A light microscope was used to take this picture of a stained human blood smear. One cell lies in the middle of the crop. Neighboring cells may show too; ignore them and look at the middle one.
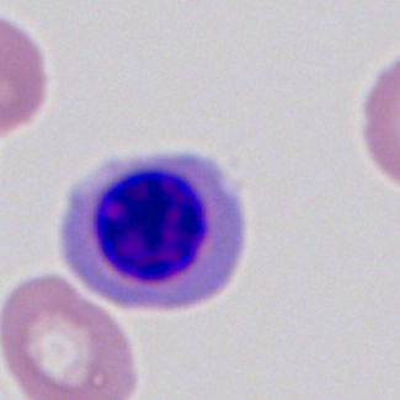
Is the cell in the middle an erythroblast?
yes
